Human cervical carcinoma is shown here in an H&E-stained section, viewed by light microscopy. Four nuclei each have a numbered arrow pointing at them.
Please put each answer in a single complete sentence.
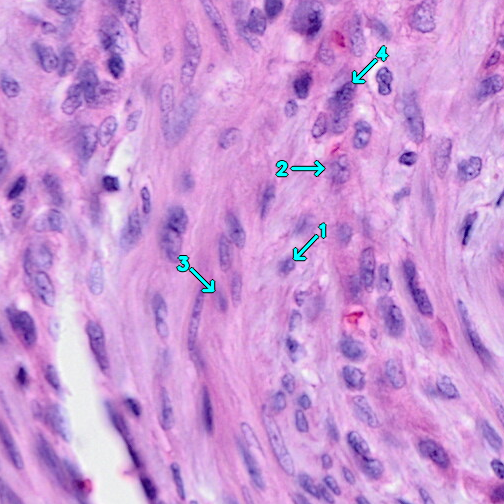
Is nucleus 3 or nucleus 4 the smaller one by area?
The smaller nucleus is 3, and 4 covers roughly 2.5 times its area.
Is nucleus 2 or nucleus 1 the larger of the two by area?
Nucleus 2 covers more area, about 4 times as much as nucleus 1.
